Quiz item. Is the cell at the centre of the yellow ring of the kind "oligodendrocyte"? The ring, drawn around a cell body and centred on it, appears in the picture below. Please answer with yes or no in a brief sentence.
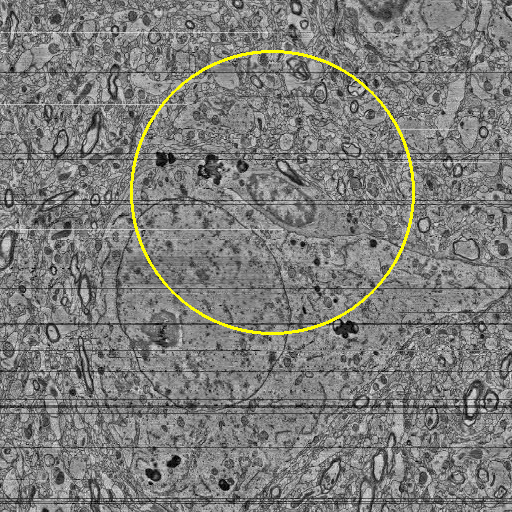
Yes, it is that kind of cell.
